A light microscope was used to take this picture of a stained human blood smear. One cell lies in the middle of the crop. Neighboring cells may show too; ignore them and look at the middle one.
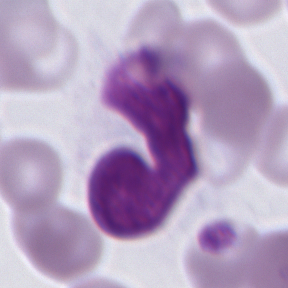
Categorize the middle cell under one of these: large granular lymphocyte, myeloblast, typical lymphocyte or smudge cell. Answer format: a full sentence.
By type, the central cell of the crop is a smudge cell.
